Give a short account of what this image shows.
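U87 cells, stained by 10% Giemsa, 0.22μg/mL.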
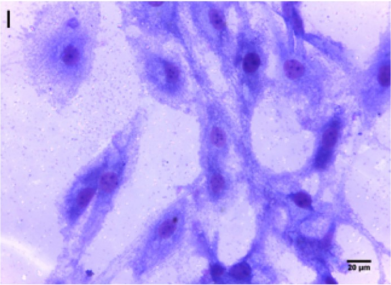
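Cells are elongated, spindle-shaped or polygonal, each with one oval nucleus containing darker nucleoli. The cytoplasm is granular and tapers into processes, several of which are narrow and thread-like where they bridge between cells. Pale, cell-free spaces separate the cells, and the cells lie in a loose arrangement rather than a dense sheet. One cell at the upper left has a broad, spread cytoplasm with a fringed edge.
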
